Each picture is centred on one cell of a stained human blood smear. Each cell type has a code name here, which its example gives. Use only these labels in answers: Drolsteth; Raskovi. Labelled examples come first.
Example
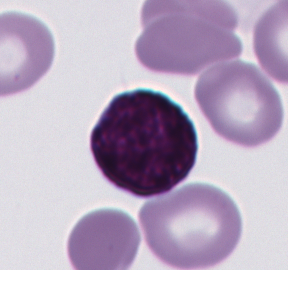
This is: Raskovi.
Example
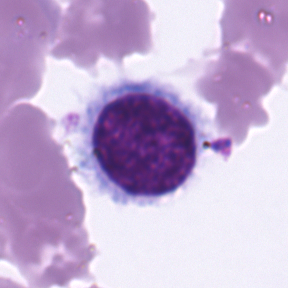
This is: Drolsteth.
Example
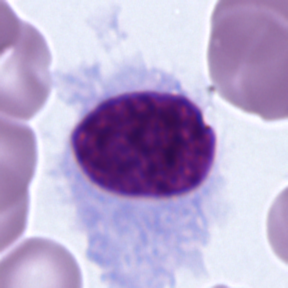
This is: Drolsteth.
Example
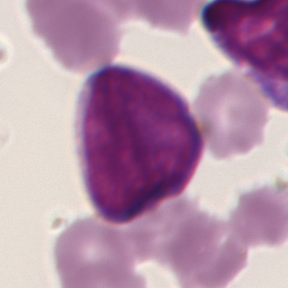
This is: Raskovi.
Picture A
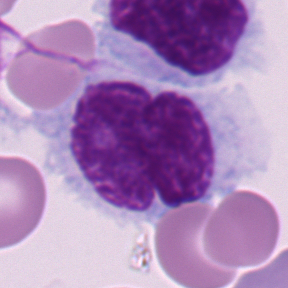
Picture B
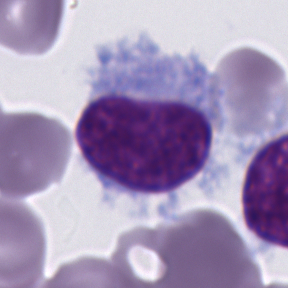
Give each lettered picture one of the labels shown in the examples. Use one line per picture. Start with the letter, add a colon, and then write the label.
A: Drolsteth.
B: Drolsteth.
